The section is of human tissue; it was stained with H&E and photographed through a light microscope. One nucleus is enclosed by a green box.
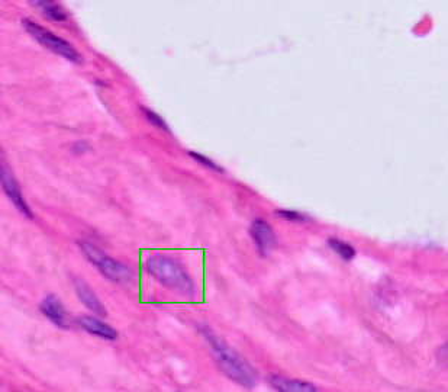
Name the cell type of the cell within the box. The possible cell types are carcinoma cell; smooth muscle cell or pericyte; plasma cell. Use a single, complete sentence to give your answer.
Placed in its cell category, the cell within the box is a smooth muscle cell or pericyte.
